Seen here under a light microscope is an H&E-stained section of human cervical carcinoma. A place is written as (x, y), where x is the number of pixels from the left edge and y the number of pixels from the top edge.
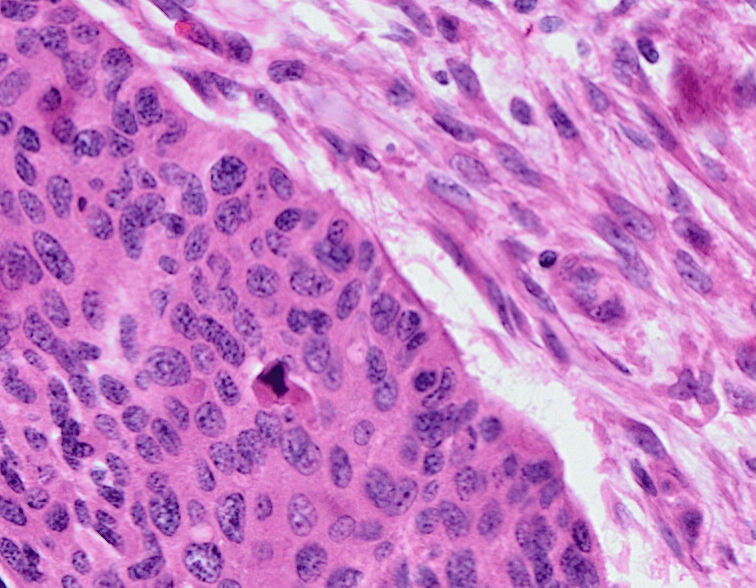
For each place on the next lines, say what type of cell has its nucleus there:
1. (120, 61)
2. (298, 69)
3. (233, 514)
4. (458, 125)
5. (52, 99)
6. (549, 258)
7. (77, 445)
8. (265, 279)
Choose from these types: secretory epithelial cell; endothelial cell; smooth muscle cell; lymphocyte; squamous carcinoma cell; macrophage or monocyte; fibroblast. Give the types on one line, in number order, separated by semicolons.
squamous carcinoma cell; macrophage or monocyte; squamous carcinoma cell; fibroblast; squamous carcinoma cell; lymphocyte; squamous carcinoma cell; squamous carcinoma cell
